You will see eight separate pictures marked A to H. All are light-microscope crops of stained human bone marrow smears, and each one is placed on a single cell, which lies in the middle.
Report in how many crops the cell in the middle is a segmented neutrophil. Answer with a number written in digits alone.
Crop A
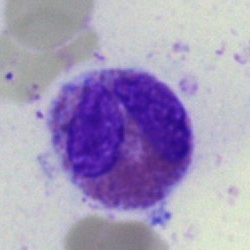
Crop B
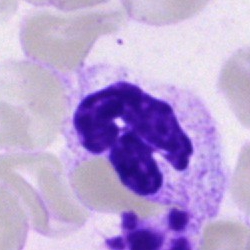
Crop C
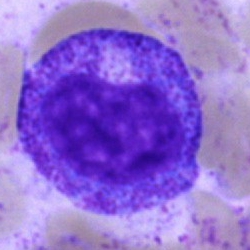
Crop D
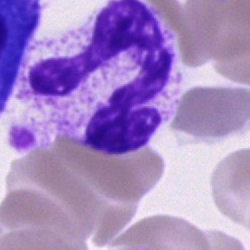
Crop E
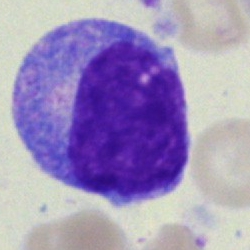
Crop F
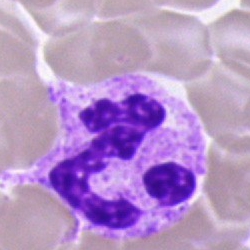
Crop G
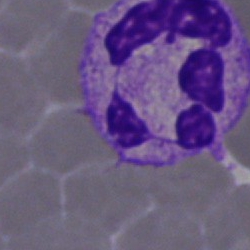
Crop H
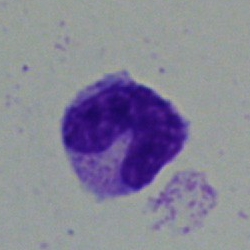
4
